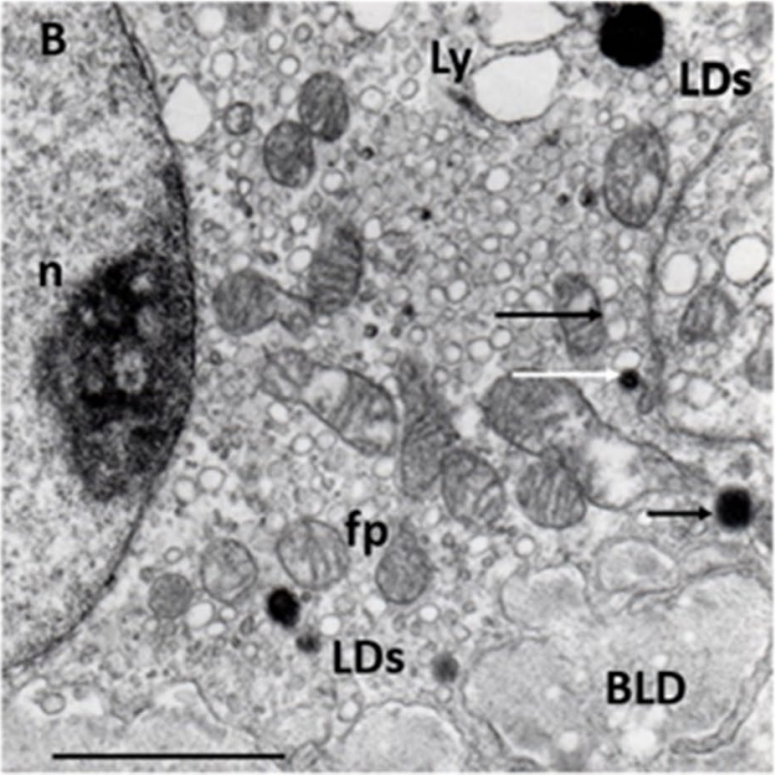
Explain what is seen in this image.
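This is part of a retinal pigment epithelial cell seen by transmission electron microscopy, with the edge of its nucleus on the left showing dense clumped chromatin. The cytoplasm is full of many small clear vacuoles and contains scattered mitochondria, some of which show pale areas where cristae and matrix are lost. Only a few dense droplets are present, one larger at the upper right and smaller ones lower in the cytoplasm. At the lower right lies a pale finely granular deposit containing round electron-lucent areas.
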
